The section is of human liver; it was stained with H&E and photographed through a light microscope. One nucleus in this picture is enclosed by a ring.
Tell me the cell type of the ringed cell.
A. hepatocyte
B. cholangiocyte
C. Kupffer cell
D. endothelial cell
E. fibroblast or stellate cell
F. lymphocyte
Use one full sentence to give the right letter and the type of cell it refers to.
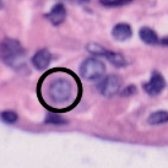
Answer with option B; the ringed cell is a cholangiocyte.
